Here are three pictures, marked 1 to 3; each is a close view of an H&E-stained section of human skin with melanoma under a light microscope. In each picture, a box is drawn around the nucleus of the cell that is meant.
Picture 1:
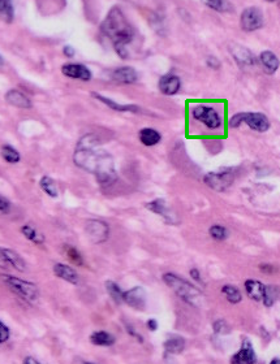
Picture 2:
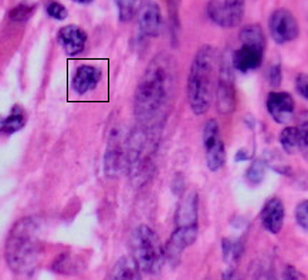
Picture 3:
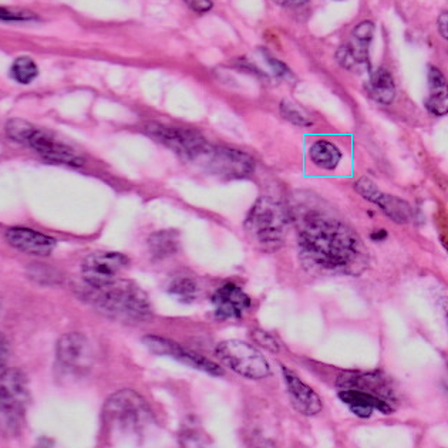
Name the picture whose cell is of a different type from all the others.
1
